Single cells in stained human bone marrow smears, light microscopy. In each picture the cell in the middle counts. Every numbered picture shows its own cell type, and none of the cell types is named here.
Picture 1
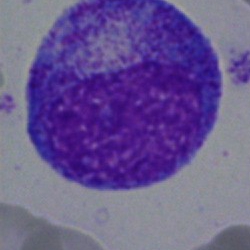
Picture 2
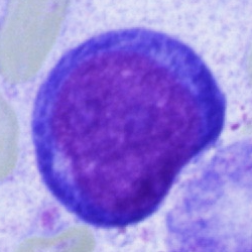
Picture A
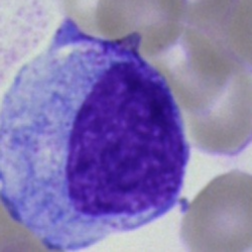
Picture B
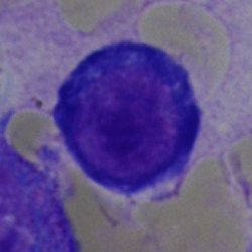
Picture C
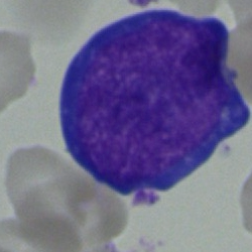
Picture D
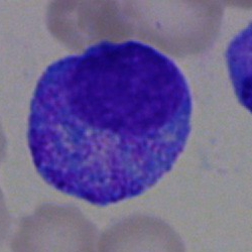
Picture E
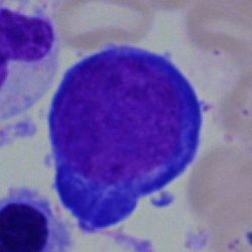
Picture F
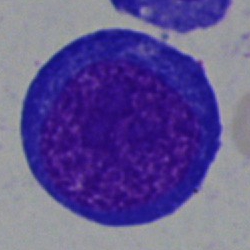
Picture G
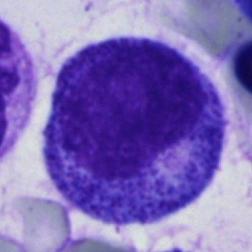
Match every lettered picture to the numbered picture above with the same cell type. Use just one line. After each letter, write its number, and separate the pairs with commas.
A 1, B 2, C 2, D 1, E 2, F 2, G 1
